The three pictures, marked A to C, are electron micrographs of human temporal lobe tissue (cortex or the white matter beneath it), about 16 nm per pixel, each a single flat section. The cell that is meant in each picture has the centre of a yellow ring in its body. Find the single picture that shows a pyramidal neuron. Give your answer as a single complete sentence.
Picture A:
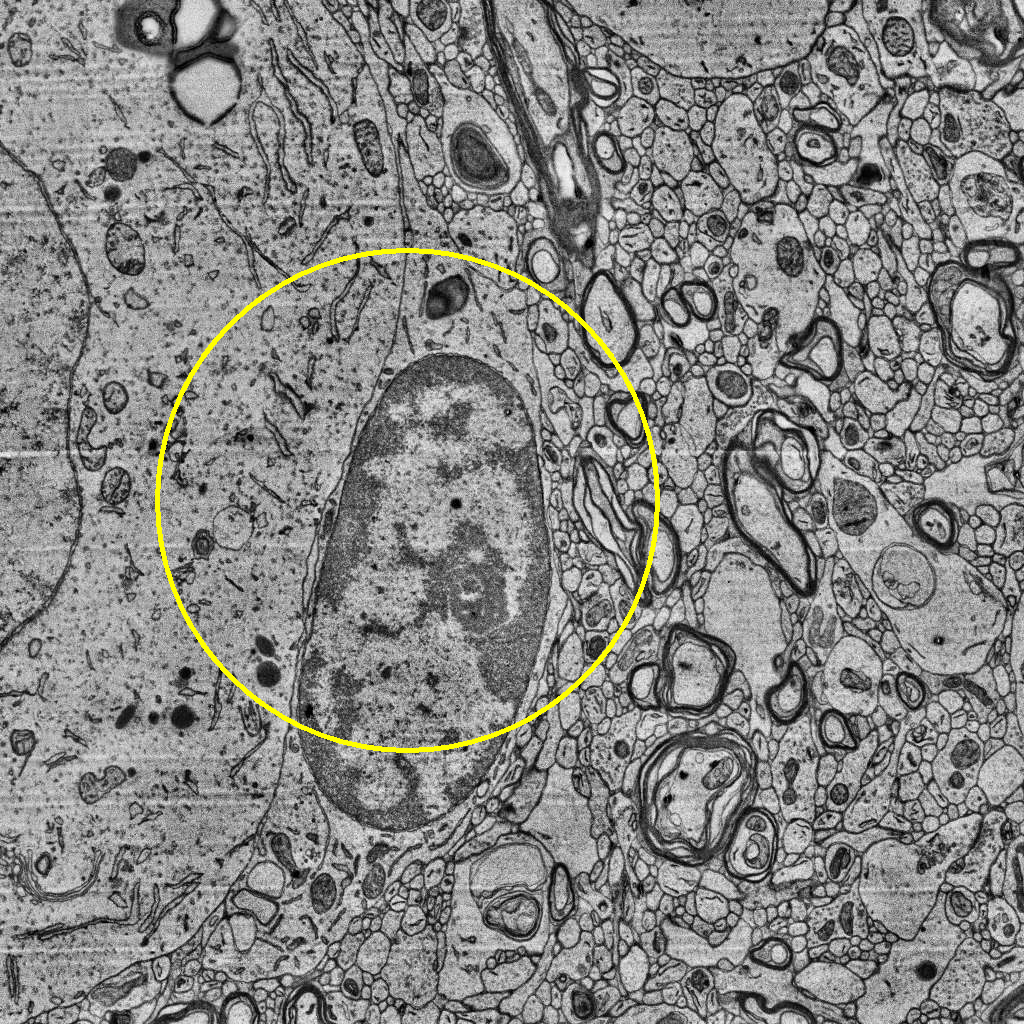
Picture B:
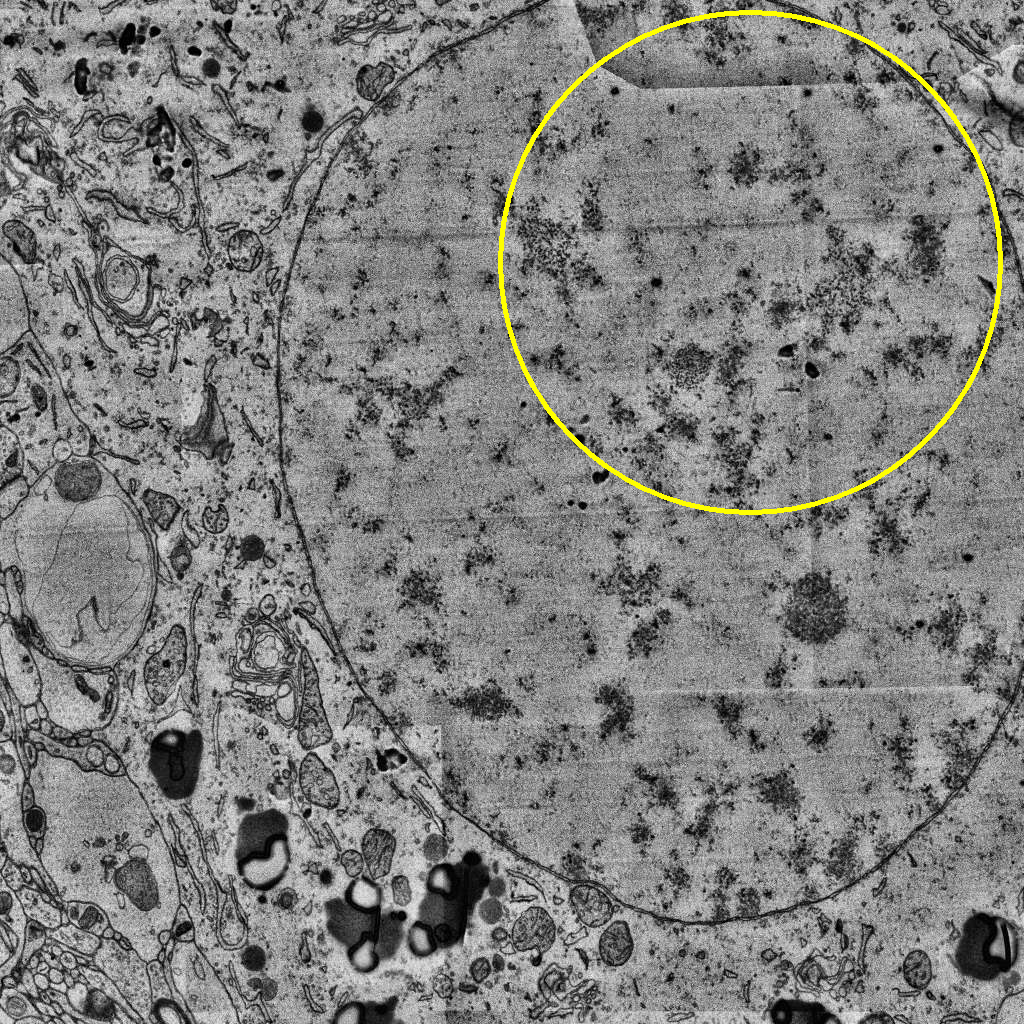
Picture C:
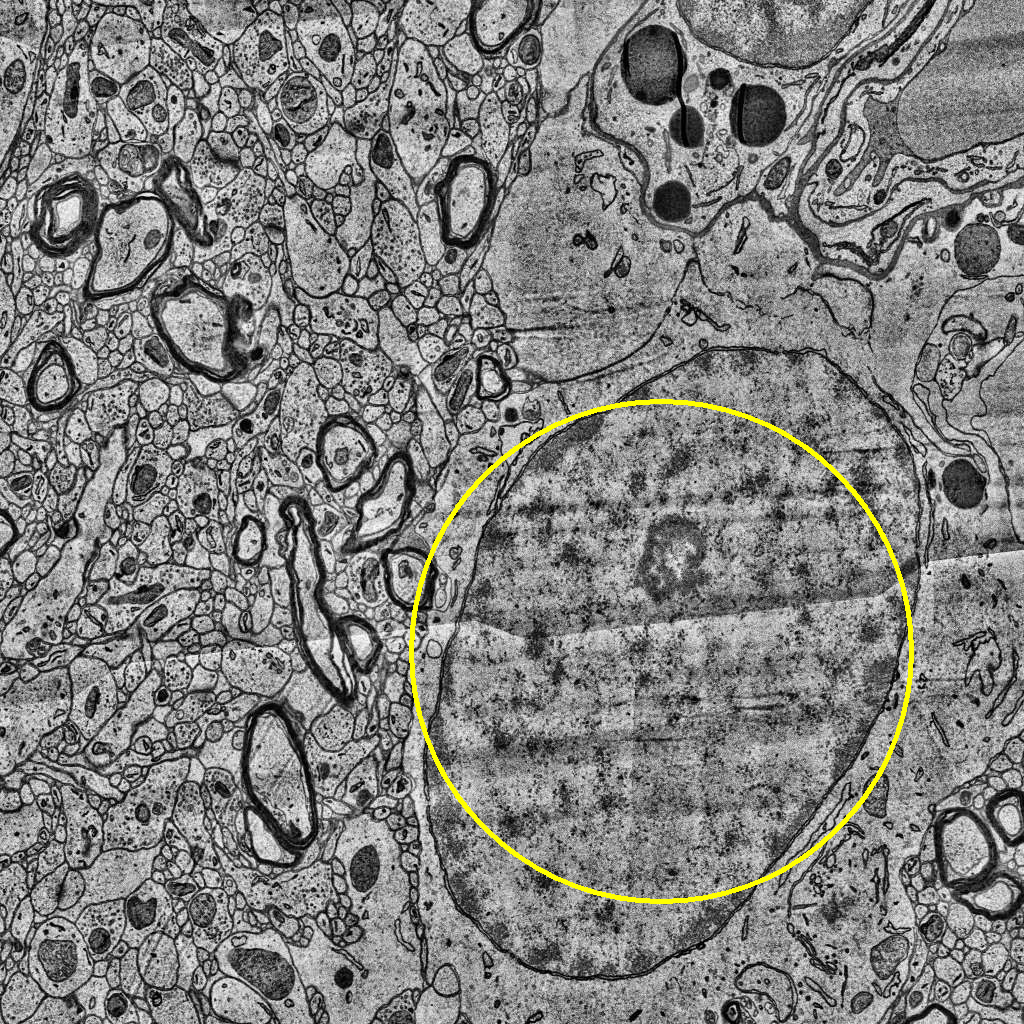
The cell in picture B is the pyramidal neuron.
